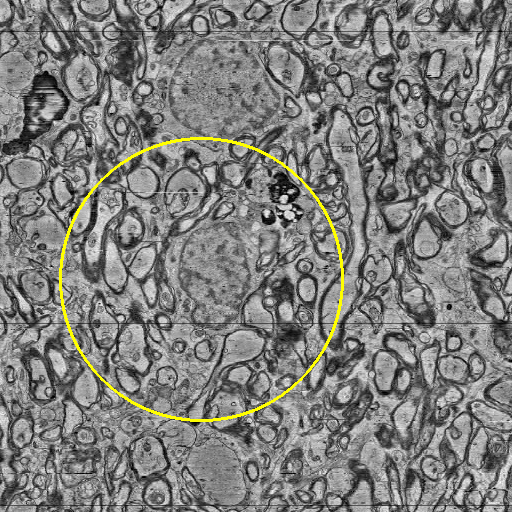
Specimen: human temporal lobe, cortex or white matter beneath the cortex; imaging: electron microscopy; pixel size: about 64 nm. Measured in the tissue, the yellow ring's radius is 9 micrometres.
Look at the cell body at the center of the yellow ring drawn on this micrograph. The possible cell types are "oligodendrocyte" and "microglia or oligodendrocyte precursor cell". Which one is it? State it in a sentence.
The cell in the middle of the ring is an oligodendrocyte.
